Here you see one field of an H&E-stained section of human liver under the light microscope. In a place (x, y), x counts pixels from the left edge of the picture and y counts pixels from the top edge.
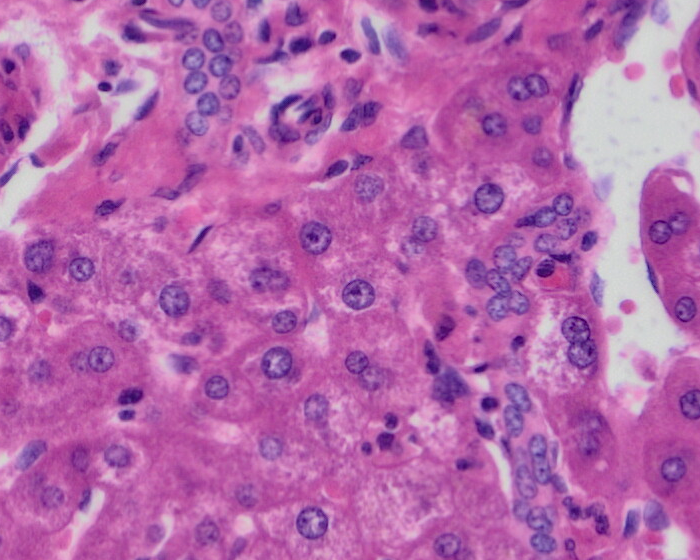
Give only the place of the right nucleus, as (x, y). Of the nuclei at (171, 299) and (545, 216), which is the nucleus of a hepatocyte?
(171, 299)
